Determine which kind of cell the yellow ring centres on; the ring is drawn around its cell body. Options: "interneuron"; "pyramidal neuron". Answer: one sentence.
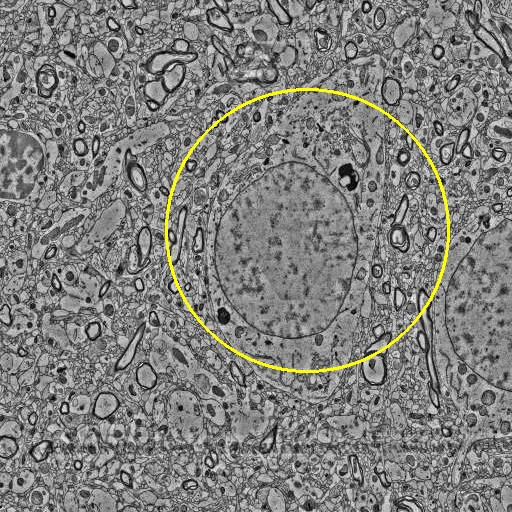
The ring centres on a pyramidal neuron.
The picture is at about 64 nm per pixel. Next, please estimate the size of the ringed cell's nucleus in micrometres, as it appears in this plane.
Roughly 11 by 9 micrometres in this plane, for the nucleus of the ringed cell.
